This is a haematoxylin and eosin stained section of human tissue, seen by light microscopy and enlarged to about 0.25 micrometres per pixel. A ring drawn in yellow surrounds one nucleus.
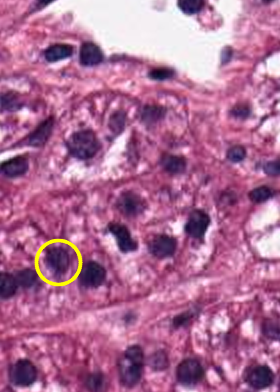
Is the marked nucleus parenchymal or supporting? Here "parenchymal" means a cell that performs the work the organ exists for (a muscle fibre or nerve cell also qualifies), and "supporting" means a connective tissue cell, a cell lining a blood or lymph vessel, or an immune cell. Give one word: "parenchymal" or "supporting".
parenchymal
